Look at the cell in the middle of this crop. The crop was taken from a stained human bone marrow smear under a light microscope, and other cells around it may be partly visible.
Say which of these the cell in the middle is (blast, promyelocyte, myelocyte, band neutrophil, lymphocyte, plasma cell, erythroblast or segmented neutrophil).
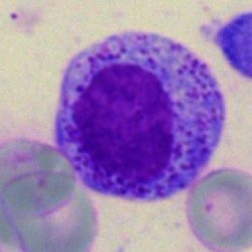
myelocyte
